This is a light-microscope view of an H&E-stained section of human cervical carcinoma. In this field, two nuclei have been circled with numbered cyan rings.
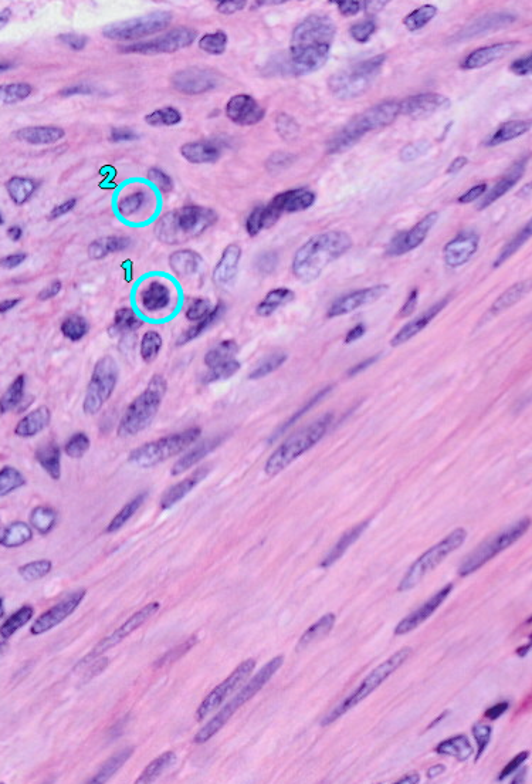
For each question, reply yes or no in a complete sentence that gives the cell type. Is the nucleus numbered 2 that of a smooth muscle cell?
Yes, it is a smooth muscle cell that number 2 identifies.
